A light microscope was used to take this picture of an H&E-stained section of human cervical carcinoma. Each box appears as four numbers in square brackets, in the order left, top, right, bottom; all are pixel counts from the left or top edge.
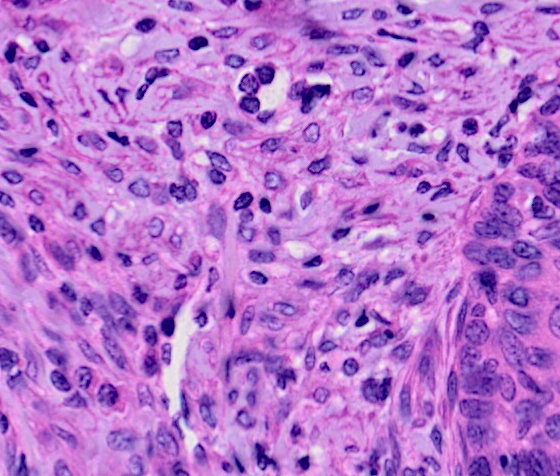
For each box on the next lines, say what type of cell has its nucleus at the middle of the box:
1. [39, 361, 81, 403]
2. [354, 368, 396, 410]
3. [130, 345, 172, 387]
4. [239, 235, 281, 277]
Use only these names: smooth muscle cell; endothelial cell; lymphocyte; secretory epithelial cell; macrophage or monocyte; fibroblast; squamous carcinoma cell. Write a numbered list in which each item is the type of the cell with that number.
1. lymphocyte
2. lymphocyte
3. lymphocyte
4. fibroblast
